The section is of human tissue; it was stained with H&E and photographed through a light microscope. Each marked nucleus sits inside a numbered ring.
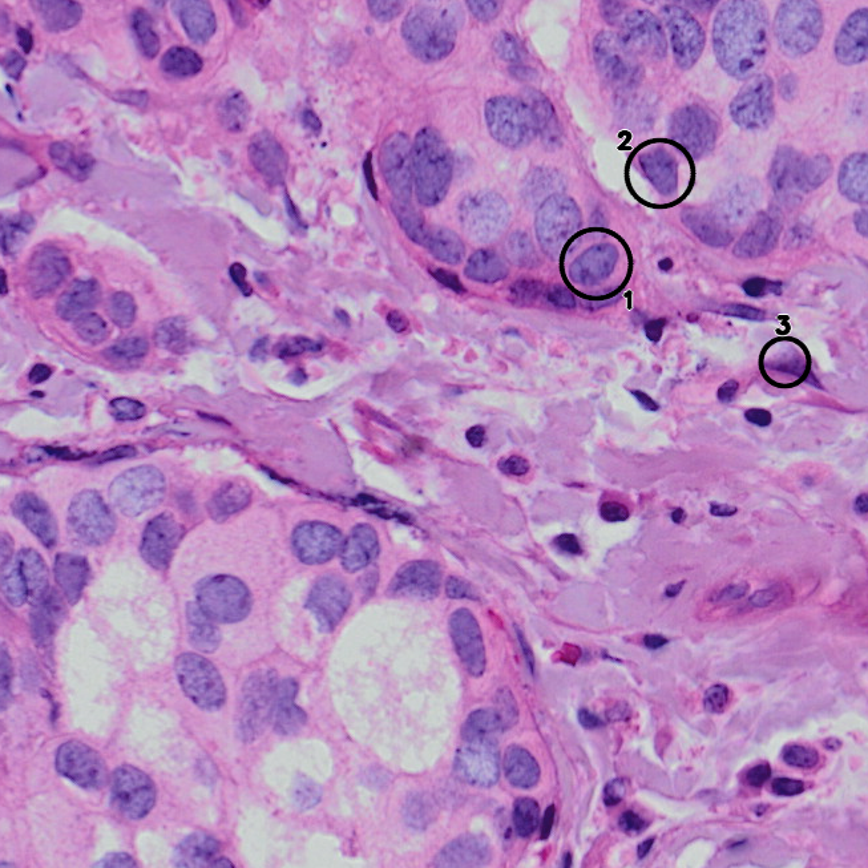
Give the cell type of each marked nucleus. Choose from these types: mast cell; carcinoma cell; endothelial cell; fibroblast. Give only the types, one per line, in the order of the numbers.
carcinoma cell
carcinoma cell
fibroblast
